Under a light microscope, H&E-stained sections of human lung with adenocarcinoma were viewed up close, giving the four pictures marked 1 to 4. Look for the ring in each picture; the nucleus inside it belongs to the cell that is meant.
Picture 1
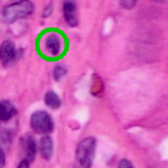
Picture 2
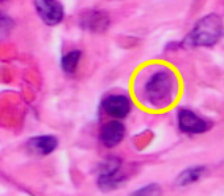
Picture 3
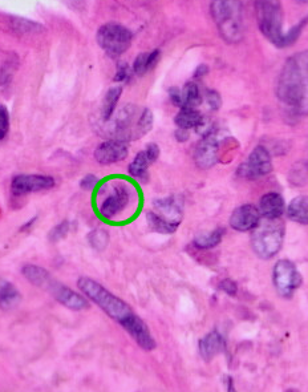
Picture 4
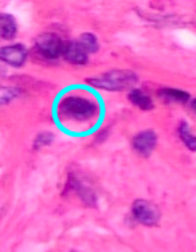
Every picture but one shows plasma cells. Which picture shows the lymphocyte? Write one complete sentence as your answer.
It is picture 1 that shows the lymphocyte.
